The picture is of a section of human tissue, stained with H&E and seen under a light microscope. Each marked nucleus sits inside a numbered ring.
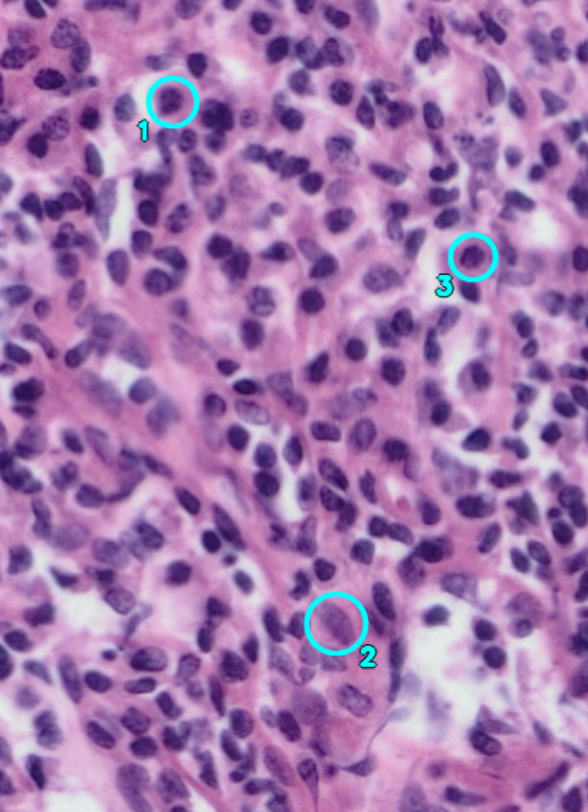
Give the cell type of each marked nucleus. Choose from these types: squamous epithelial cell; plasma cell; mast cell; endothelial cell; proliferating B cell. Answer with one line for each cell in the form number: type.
1: plasma cell
2: endothelial cell
3: plasma cell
